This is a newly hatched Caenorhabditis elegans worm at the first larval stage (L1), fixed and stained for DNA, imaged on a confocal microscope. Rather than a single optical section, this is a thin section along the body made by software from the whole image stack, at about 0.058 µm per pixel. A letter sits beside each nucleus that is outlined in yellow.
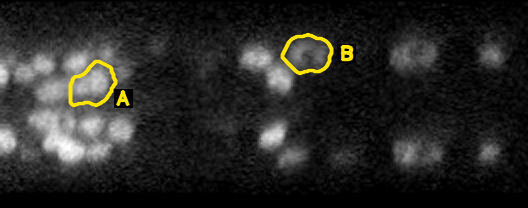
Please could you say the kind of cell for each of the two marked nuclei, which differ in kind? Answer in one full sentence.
A is the nucleus of a pharyngeal muscle cell; B is the nucleus of a hypodermal cell (hyp).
